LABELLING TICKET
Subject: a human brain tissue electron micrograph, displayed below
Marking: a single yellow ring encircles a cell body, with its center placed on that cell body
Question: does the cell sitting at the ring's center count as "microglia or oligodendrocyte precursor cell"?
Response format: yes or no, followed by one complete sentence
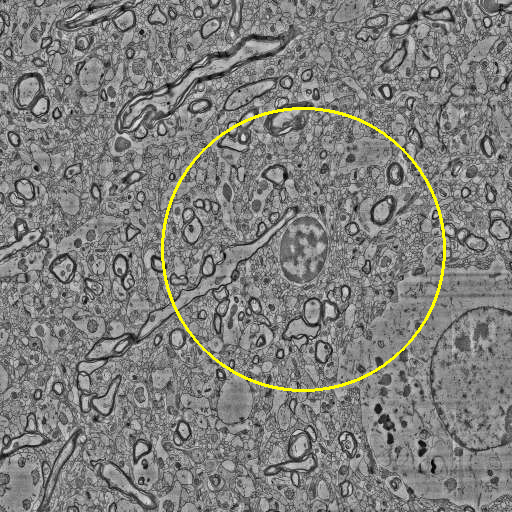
Yes, the cell at the center of the ring in the picture is of that kind.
